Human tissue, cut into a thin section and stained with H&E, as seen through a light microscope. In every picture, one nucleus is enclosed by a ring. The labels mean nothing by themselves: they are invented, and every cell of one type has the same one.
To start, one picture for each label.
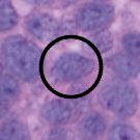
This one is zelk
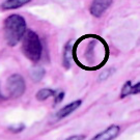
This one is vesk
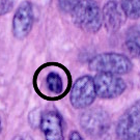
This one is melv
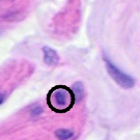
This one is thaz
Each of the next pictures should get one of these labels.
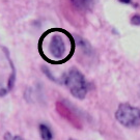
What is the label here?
melv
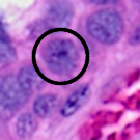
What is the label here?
zelk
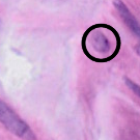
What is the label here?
thaz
